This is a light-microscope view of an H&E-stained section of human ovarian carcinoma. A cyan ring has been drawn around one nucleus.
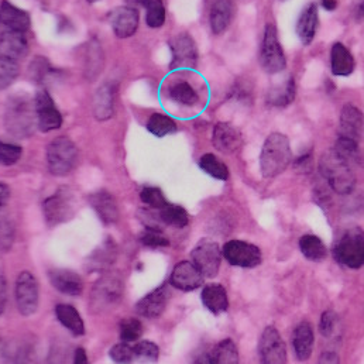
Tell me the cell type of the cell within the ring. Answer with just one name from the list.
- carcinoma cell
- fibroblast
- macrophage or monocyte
carcinoma cell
